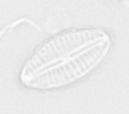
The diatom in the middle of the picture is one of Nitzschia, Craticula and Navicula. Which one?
Craticula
